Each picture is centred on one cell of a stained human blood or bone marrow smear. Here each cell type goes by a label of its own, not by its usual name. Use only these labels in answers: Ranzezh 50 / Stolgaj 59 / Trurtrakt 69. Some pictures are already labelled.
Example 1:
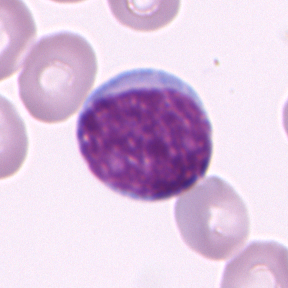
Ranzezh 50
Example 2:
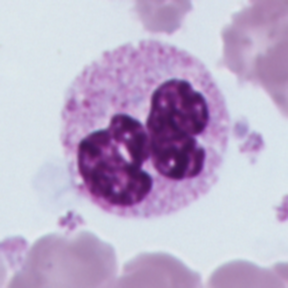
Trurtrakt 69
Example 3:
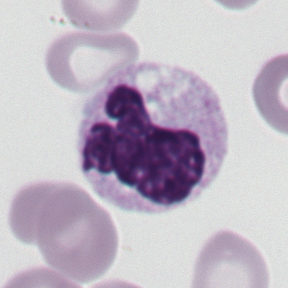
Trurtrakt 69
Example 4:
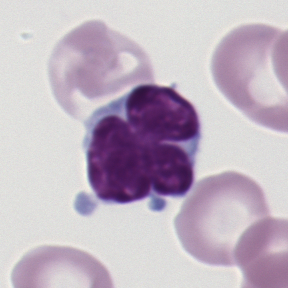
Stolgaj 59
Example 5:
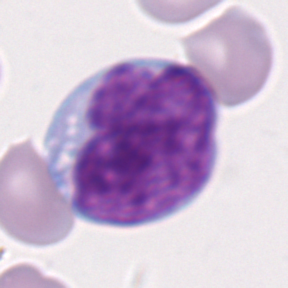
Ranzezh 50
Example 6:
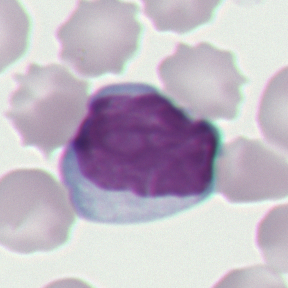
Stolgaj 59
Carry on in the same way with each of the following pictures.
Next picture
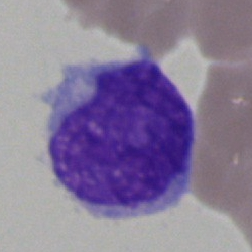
Ranzezh 50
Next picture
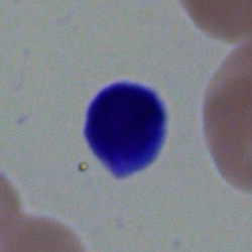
Stolgaj 59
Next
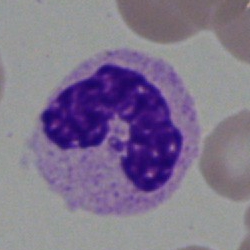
Trurtrakt 69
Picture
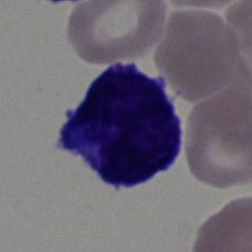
Ranzezh 50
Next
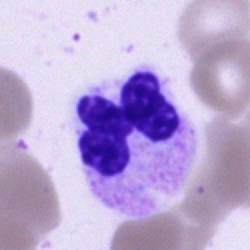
Trurtrakt 69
